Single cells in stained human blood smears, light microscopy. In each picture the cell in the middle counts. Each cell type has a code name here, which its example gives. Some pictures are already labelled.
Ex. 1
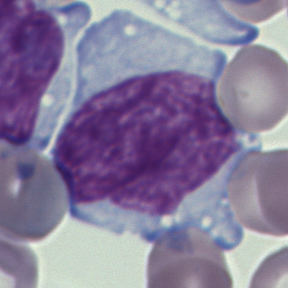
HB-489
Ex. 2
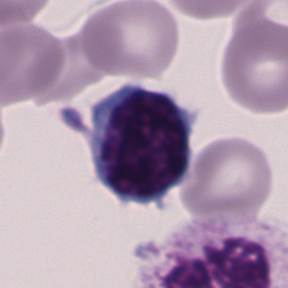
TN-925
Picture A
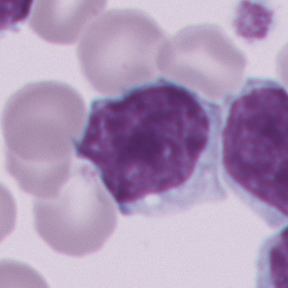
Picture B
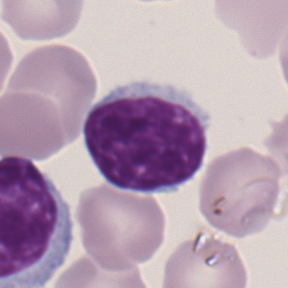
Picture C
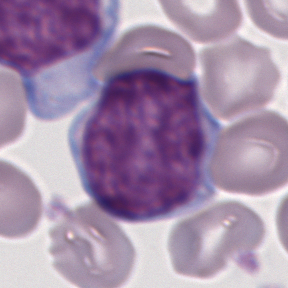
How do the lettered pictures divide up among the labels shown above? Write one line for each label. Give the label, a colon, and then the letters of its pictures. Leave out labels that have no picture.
HB-489: C
TN-925: A, B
